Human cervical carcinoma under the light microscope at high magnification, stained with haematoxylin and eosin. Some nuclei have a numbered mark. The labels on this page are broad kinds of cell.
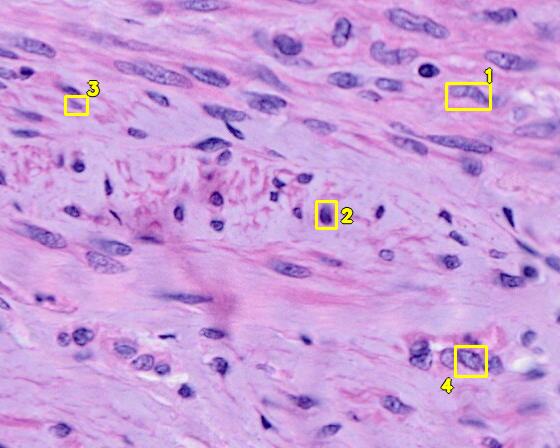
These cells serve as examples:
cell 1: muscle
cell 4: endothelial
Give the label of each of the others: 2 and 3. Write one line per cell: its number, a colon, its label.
2: muscle
3: muscle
